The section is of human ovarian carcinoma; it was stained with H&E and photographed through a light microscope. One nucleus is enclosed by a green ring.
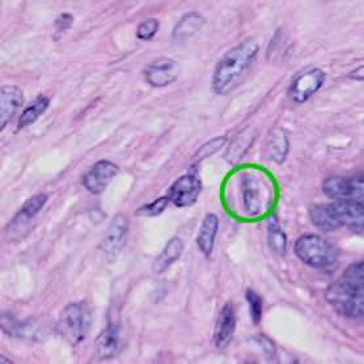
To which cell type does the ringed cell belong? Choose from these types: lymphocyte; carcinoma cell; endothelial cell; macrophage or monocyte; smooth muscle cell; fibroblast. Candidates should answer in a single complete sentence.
In this field of tissue, the ringed cell is a fibroblast.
